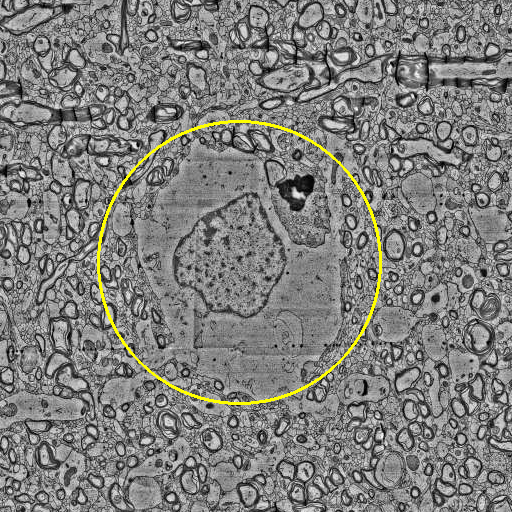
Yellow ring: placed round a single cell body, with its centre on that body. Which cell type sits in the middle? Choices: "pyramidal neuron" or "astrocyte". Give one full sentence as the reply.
It is an astrocyte whose cell body sits at the centre of the yellow ring.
